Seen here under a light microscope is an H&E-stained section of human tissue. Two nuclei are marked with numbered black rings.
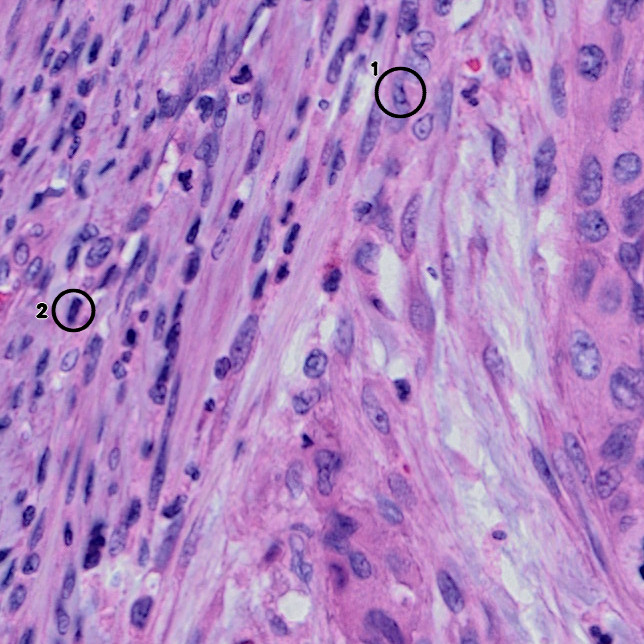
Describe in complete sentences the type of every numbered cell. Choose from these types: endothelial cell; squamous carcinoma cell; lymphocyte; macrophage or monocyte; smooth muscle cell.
Cell 1 is an endothelial cell and cell 2 is a lymphocyte.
